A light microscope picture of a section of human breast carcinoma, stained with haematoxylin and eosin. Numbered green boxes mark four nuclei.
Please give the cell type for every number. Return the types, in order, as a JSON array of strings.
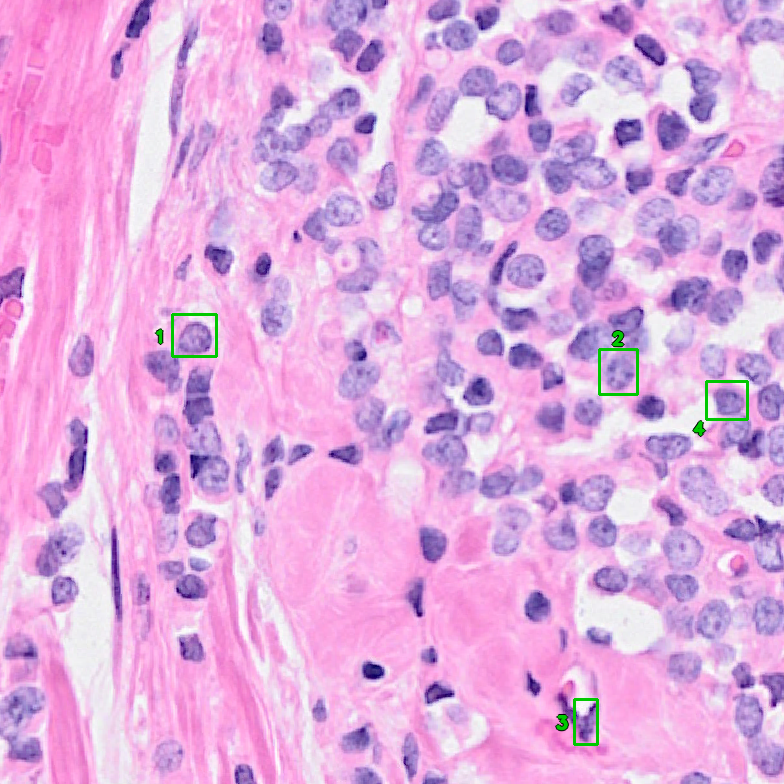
["carcinoma cell", "carcinoma cell", "endothelial cell", "carcinoma cell"]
